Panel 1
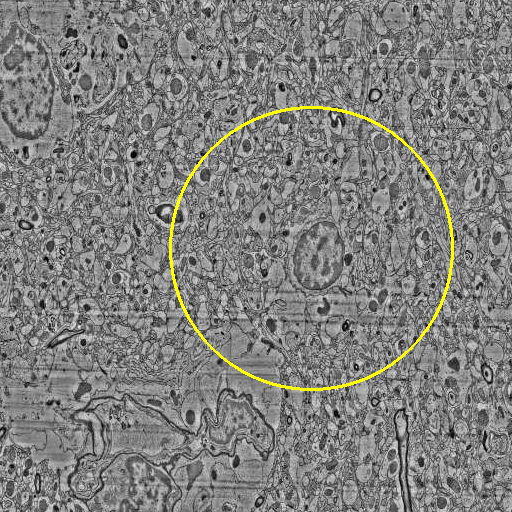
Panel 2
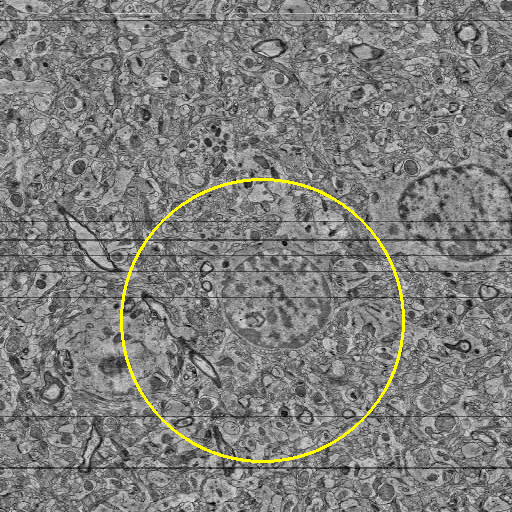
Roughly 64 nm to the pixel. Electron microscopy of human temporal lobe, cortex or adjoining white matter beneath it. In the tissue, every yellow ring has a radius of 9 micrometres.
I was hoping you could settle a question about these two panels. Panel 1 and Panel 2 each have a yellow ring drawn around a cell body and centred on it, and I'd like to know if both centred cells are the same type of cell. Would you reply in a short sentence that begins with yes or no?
No, they are two types of cell.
